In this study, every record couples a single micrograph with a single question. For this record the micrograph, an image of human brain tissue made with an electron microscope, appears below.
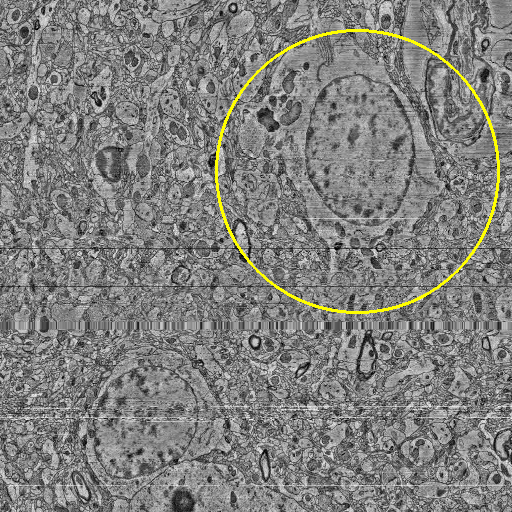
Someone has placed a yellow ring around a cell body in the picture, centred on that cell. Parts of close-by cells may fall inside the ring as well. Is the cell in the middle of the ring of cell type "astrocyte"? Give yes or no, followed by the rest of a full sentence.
Yes, the cell centred in the ring shown in the picture does have that cell type.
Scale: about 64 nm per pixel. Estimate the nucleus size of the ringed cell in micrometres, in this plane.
In this plane the nucleus is about 10 micrometres by 7.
